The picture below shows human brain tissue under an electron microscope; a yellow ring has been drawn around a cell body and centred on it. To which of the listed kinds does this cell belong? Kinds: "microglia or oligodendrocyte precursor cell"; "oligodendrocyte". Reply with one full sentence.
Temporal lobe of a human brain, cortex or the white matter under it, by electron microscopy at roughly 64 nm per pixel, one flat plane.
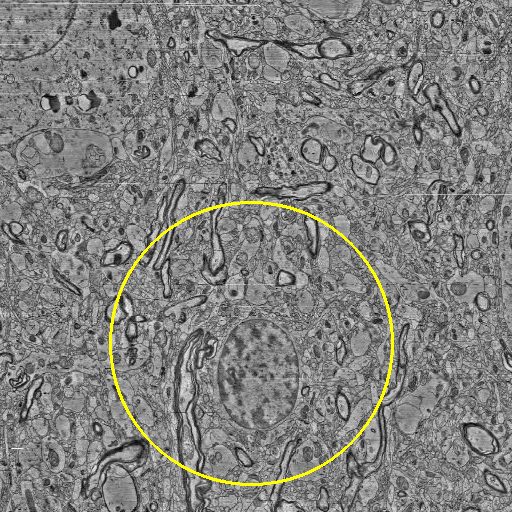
It is an oligodendrocyte that the yellow ring in the picture is centred on.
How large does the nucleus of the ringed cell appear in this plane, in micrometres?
The nucleus has a long axis of about 7 micrometres and a short axis of about 5 micrometres in this plane.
